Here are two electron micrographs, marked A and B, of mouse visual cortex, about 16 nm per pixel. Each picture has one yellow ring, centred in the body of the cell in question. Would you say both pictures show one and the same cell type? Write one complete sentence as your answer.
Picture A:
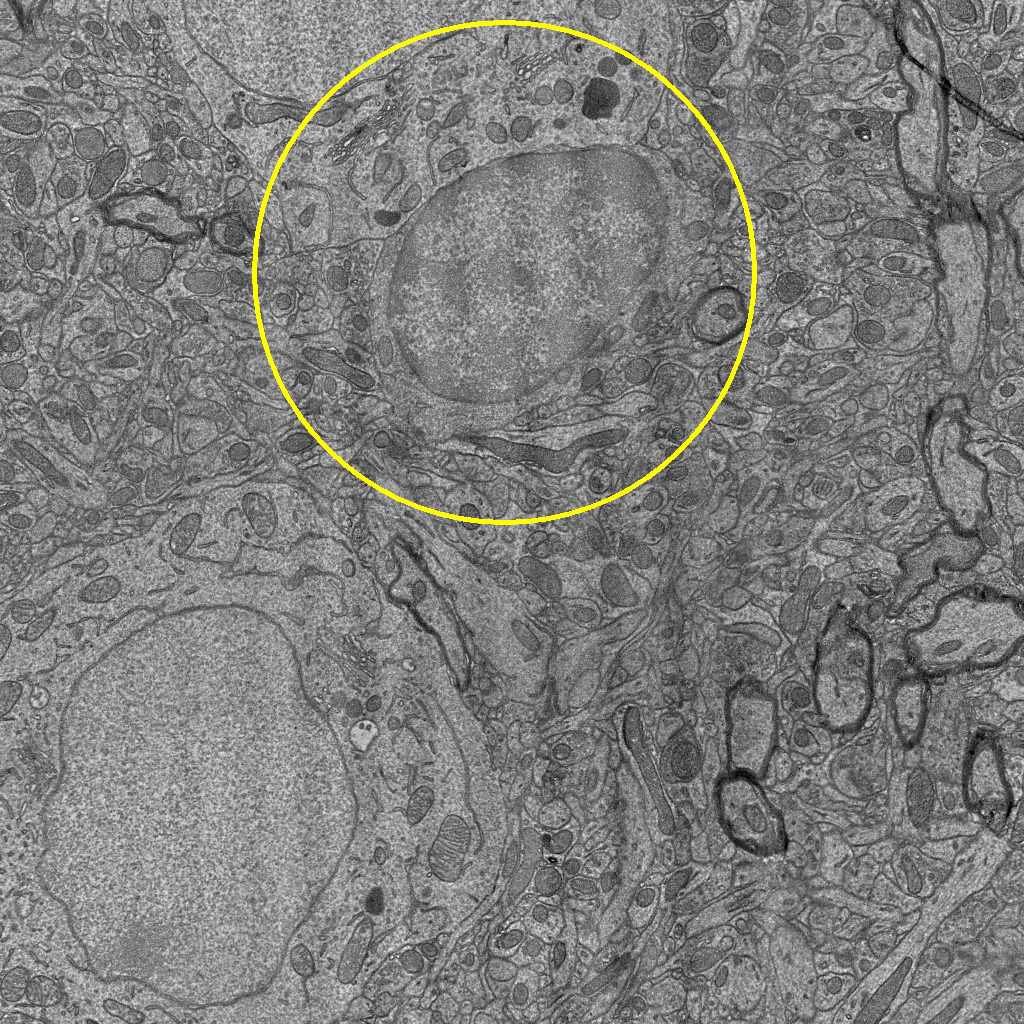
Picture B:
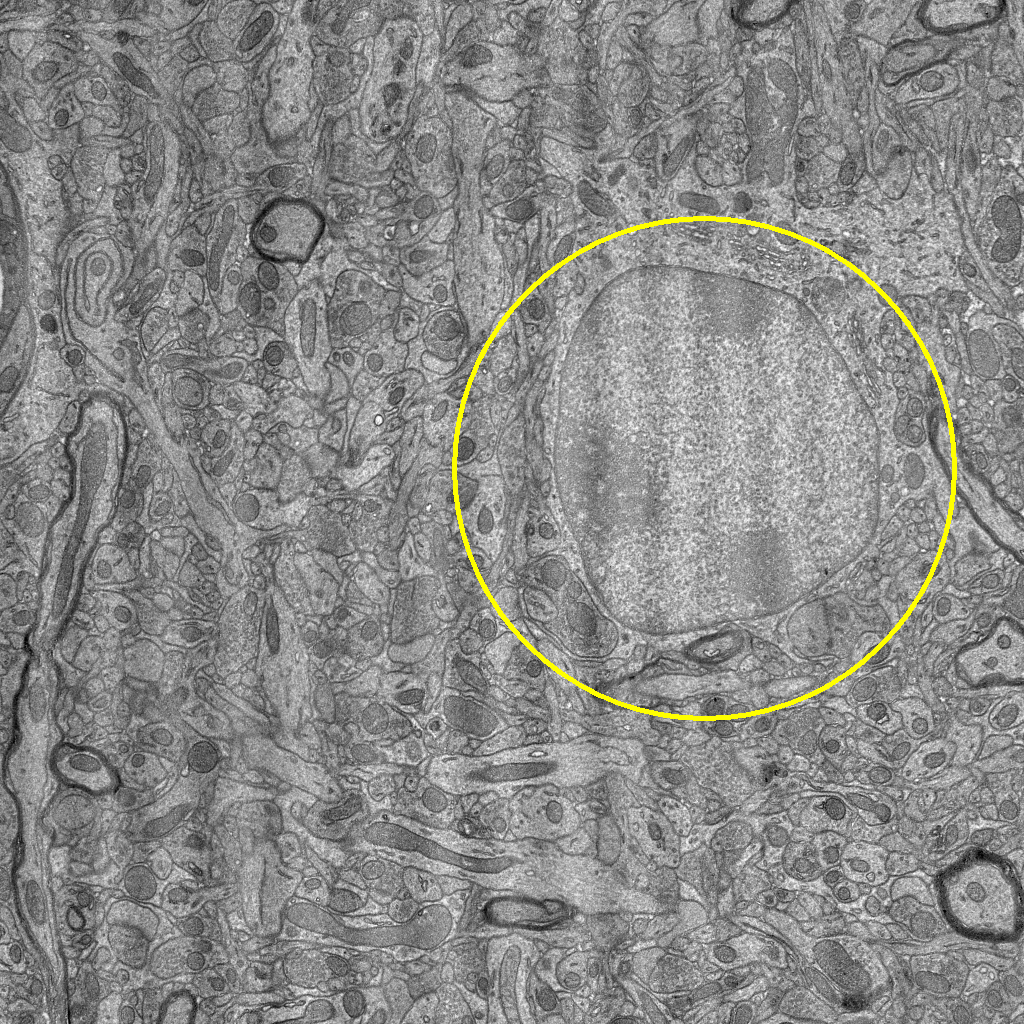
No, picture A shows an oligodendrocyte and picture B shows an astrocyte.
